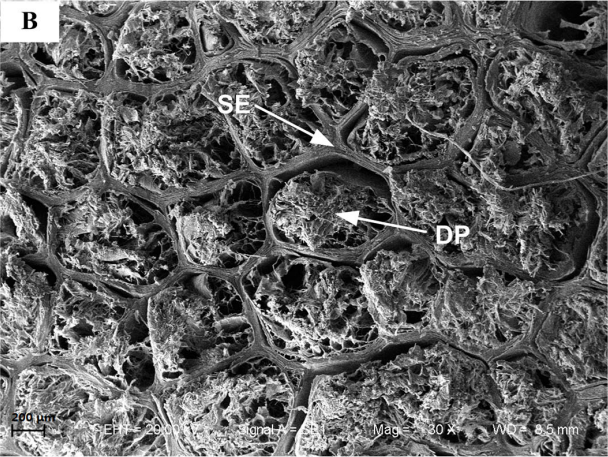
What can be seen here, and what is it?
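Cut across, the stratified epithelium forms a network of thin, smooth walls that enclose rounded compartments, like the cells of a honeycomb. Inside each compartment lies a dermal papilla whose loose, fibrous, spongy texture stands out against the smooth epithelial walls around it.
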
